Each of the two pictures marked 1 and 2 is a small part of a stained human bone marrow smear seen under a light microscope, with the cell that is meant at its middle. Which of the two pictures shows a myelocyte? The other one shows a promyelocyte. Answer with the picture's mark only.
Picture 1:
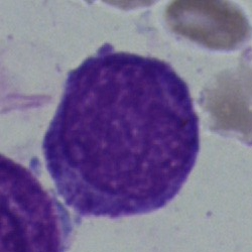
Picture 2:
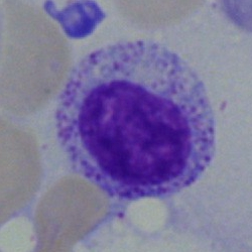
2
